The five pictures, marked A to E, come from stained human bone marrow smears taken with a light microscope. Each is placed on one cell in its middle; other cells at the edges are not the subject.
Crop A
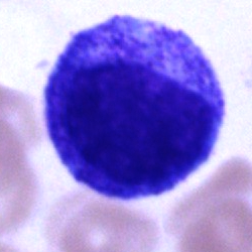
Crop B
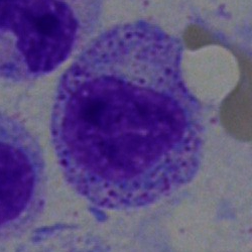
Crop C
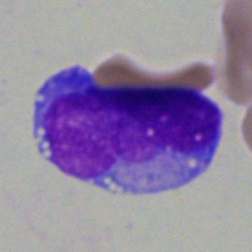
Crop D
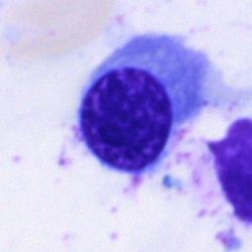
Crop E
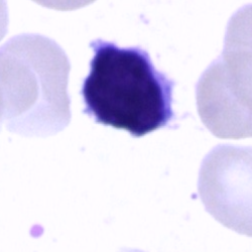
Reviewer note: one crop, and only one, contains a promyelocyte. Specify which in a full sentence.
The crop in which a promyelocyte is shown is crop A.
